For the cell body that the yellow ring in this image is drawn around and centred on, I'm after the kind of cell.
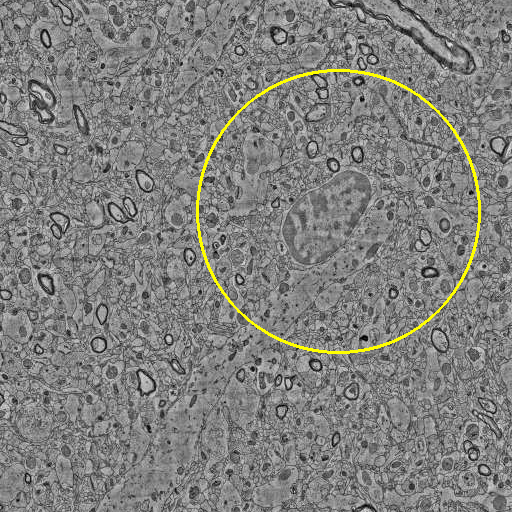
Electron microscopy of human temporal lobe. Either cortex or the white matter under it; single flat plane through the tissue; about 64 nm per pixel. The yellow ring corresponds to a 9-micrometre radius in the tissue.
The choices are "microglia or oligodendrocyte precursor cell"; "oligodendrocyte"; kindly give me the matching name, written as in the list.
microglia or oligodendrocyte precursor cell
